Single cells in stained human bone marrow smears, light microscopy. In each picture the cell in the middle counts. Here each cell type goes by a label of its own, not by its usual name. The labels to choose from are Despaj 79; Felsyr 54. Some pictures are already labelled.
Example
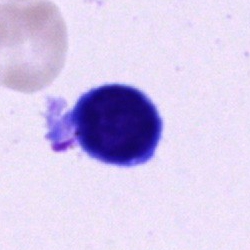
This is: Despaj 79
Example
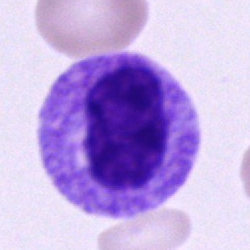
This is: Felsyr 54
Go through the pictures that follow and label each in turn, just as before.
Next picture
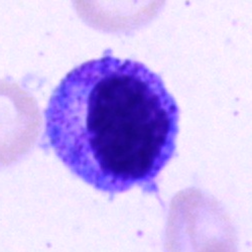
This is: Felsyr 54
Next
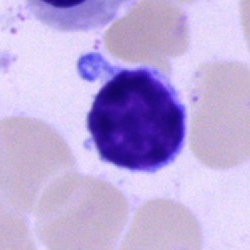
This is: Despaj 79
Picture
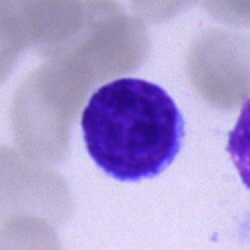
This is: Despaj 79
